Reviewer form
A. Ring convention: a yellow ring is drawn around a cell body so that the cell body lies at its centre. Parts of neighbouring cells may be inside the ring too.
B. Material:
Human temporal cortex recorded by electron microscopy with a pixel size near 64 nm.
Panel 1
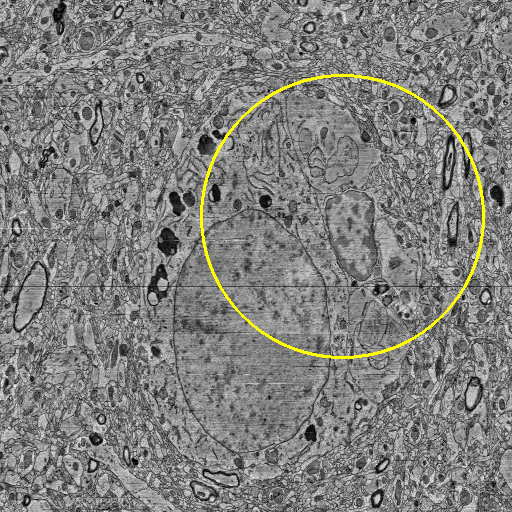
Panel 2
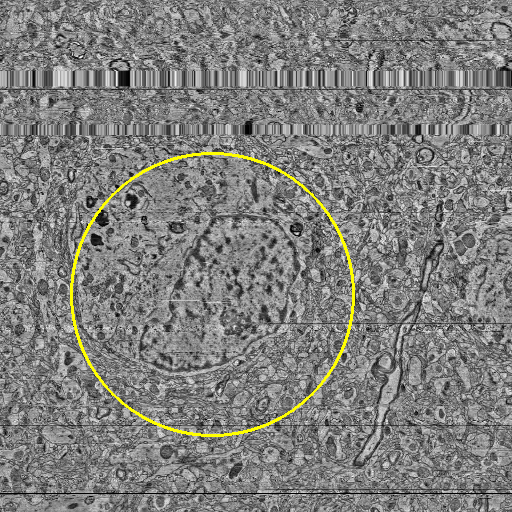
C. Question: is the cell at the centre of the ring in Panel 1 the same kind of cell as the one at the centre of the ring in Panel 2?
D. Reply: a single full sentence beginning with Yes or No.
Yes, the cells in Panel 1 and Panel 2 are the same kind of cell.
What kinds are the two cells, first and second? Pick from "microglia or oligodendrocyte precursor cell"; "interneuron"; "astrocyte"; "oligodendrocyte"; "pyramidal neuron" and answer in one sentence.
The first and the second cell are each a microglial cell or oligodendrocyte precursor cell.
